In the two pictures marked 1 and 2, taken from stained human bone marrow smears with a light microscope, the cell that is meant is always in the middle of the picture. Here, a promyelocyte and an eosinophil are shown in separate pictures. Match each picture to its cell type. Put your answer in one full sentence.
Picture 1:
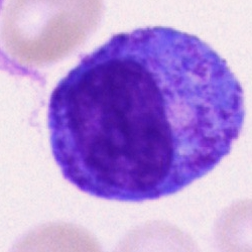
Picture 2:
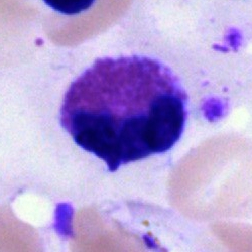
Picture 2 shows an eosinophil, while picture 1 shows a promyelocyte.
